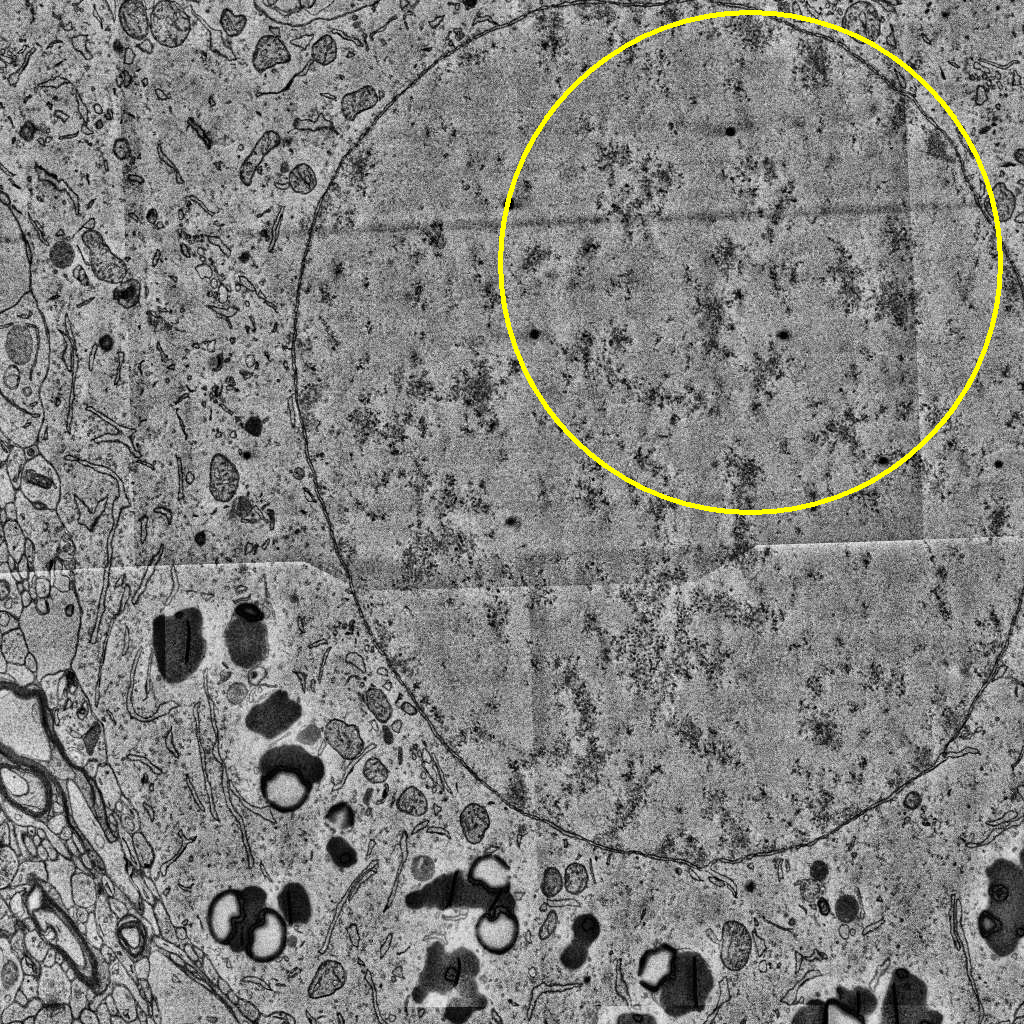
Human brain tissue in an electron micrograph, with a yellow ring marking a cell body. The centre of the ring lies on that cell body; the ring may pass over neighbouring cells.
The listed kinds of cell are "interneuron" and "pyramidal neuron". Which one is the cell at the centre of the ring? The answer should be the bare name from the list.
pyramidal neuron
